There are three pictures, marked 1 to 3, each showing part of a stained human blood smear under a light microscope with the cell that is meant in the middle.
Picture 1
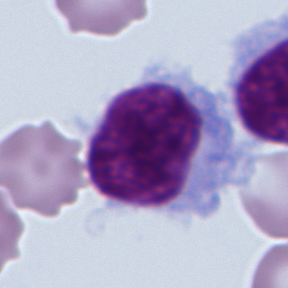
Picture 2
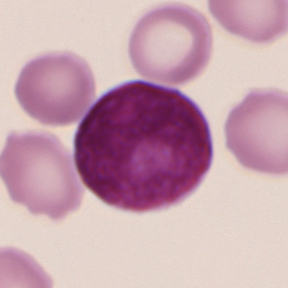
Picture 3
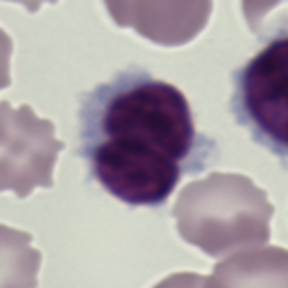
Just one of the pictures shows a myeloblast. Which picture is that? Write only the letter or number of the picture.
2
